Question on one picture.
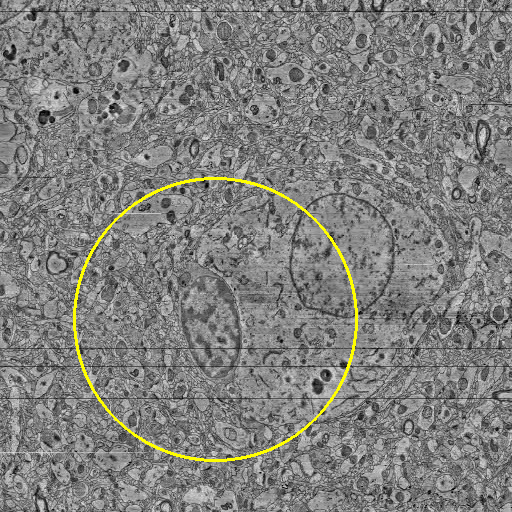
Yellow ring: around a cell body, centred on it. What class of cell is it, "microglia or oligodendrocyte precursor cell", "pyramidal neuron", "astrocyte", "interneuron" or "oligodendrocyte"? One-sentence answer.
This is an oligodendrocyte, the cell the ring is centred on.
